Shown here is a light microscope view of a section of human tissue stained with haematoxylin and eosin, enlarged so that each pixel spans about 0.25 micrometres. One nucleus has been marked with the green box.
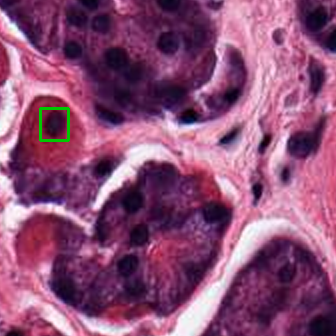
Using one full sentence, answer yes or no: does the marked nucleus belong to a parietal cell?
Yes, the nucleus that carries the mark belongs to a parietal cell.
